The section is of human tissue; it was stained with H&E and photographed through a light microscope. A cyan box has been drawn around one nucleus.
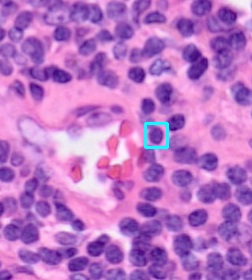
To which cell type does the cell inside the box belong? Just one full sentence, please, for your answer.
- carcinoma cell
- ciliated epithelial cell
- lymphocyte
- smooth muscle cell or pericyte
Right, so the cell inside the box is a lymphocyte, to answer that.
